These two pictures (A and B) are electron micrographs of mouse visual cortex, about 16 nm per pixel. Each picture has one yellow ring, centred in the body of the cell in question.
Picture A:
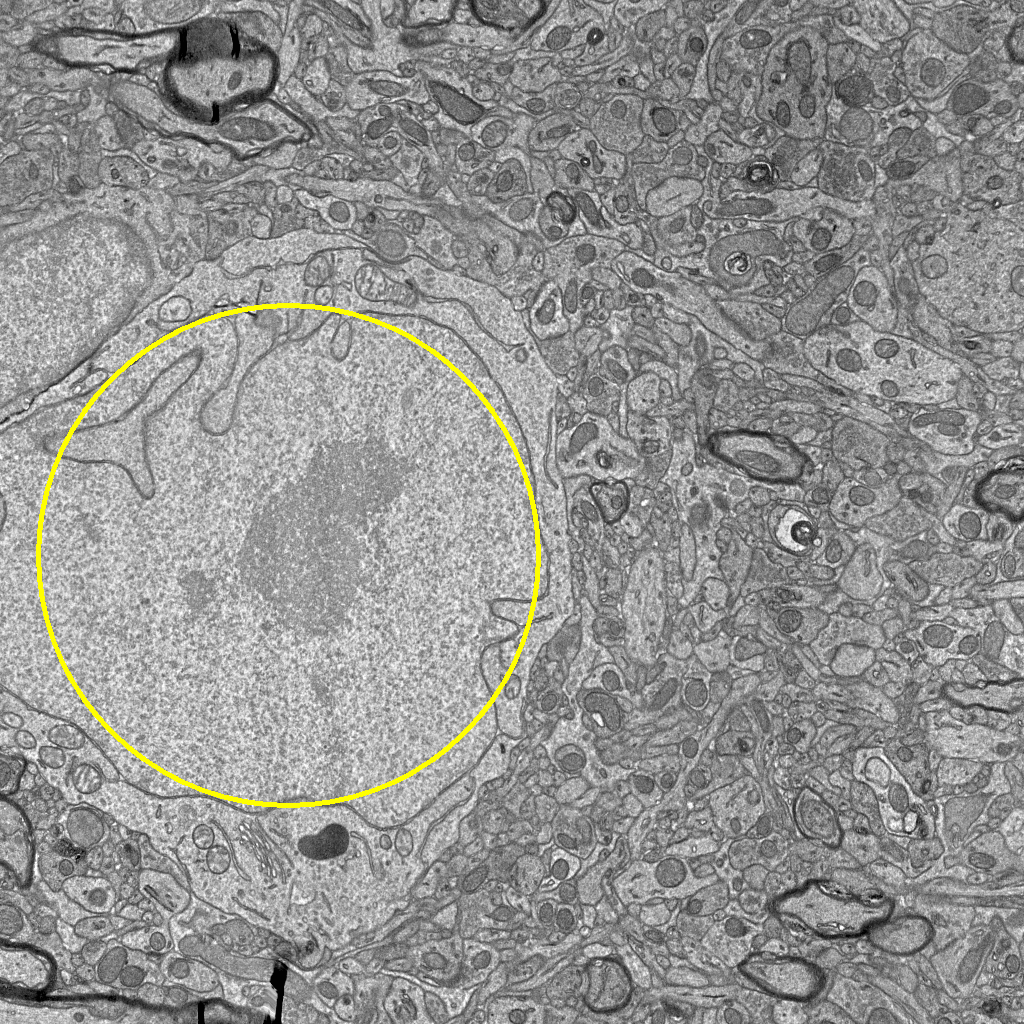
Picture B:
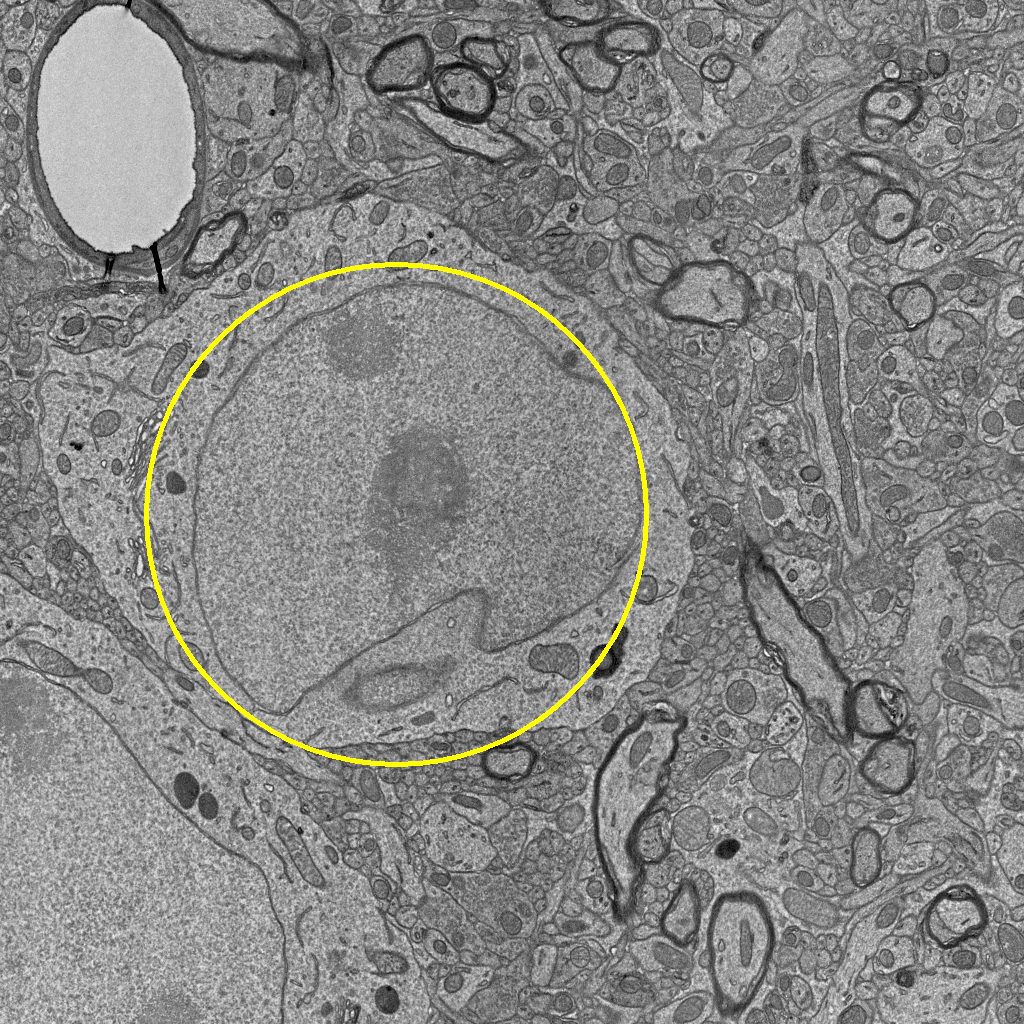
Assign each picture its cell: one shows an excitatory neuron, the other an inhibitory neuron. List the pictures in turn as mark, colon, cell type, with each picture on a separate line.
A: inhibitory neuron
B: excitatory neuron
